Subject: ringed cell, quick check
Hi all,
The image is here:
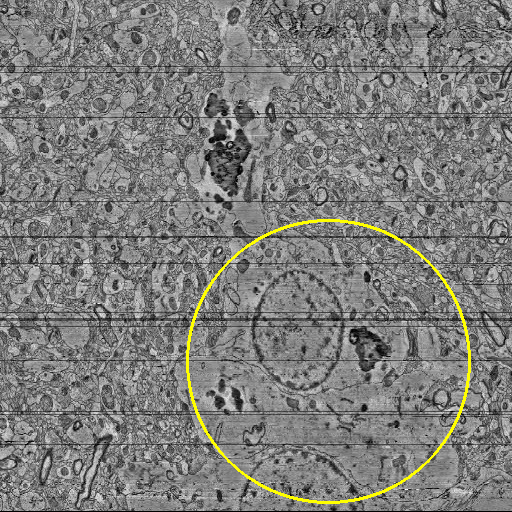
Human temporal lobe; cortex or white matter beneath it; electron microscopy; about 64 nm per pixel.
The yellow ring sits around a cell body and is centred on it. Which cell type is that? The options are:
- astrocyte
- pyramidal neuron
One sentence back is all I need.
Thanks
That ringed cell is an astrocyte.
